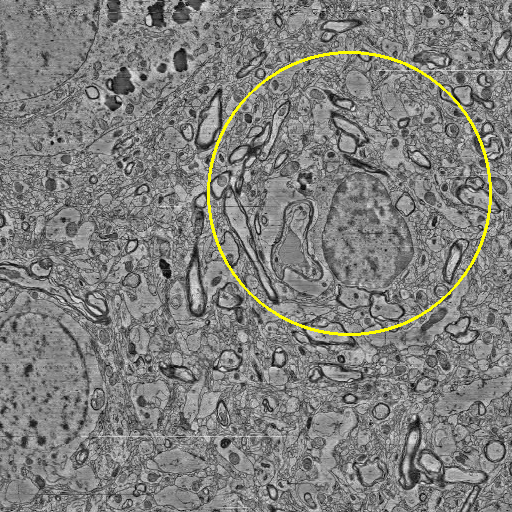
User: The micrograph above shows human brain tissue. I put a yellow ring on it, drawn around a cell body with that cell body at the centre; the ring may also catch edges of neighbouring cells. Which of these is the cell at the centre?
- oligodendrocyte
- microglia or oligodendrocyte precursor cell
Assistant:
oligodendrocyte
